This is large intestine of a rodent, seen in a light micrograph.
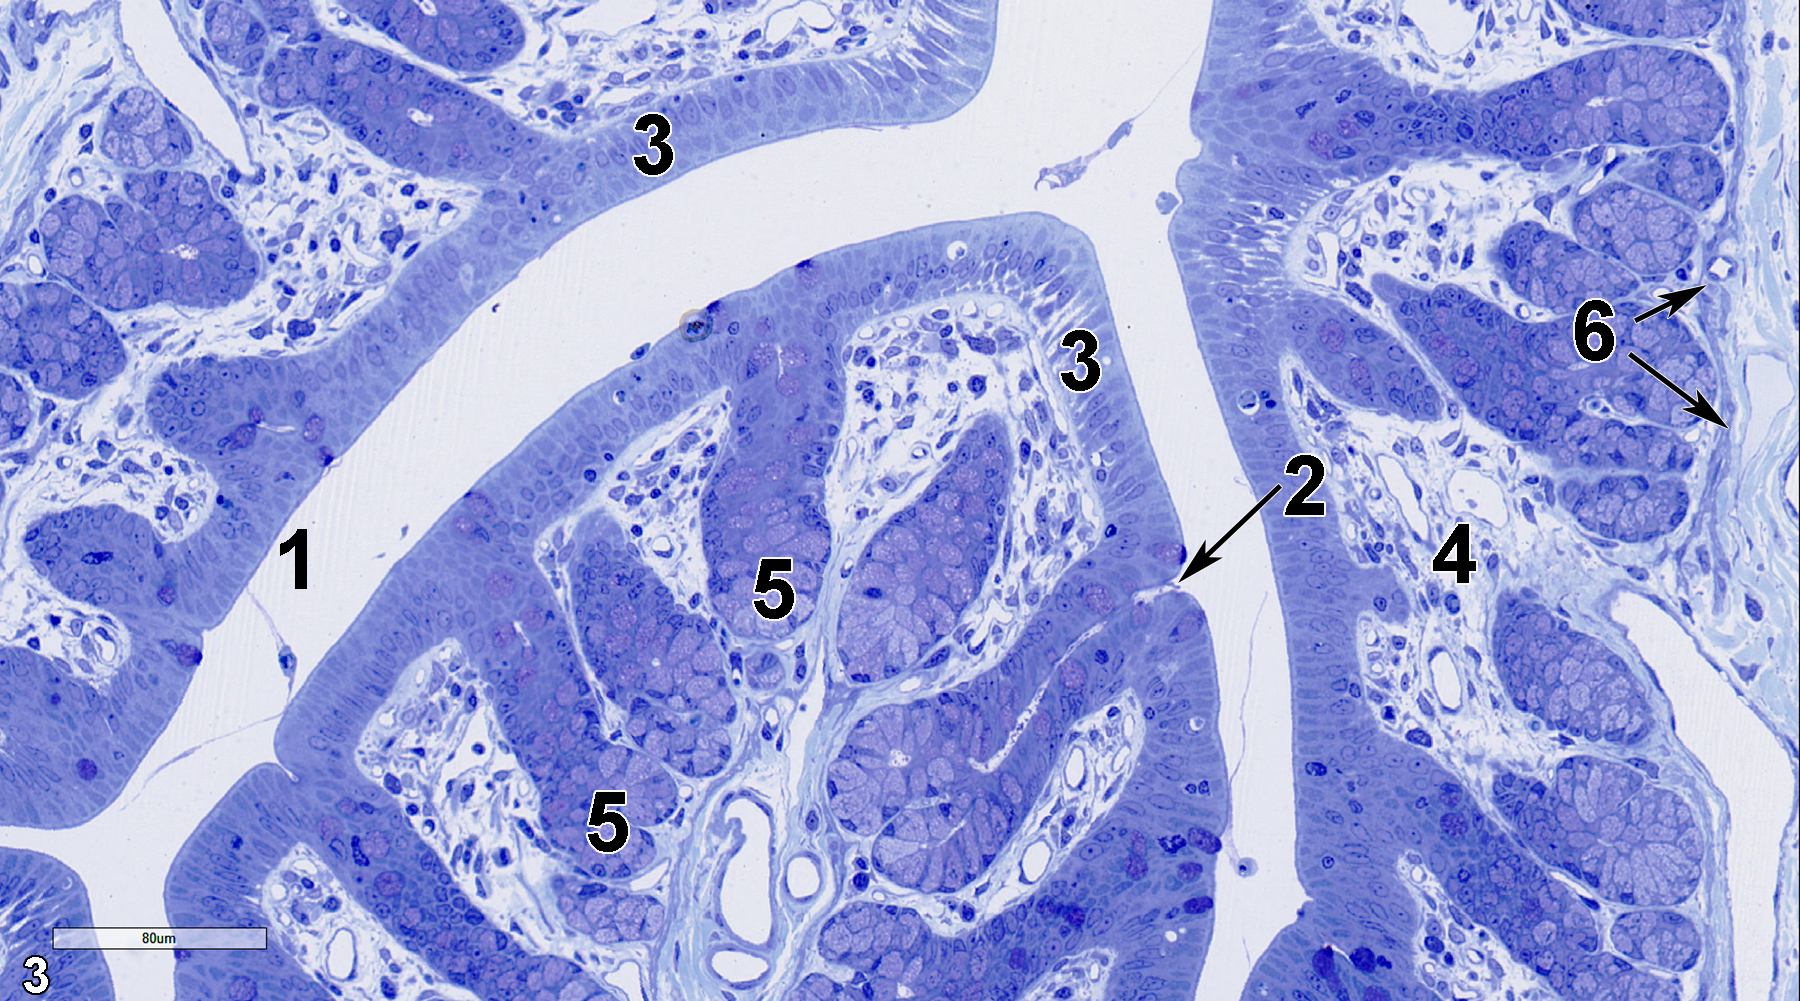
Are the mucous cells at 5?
Yes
